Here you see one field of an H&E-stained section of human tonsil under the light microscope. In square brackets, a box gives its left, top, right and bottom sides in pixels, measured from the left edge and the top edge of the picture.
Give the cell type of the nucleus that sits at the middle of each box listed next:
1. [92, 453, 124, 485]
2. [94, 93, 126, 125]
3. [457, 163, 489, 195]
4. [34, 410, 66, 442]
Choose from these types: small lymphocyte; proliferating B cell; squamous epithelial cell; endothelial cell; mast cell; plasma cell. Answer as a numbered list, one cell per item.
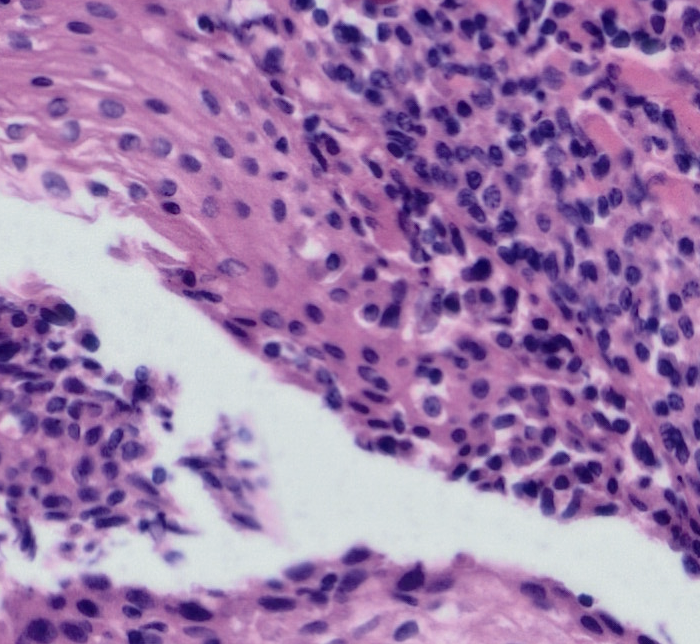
1. squamous epithelial cell
2. squamous epithelial cell
3. plasma cell
4. squamous epithelial cell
